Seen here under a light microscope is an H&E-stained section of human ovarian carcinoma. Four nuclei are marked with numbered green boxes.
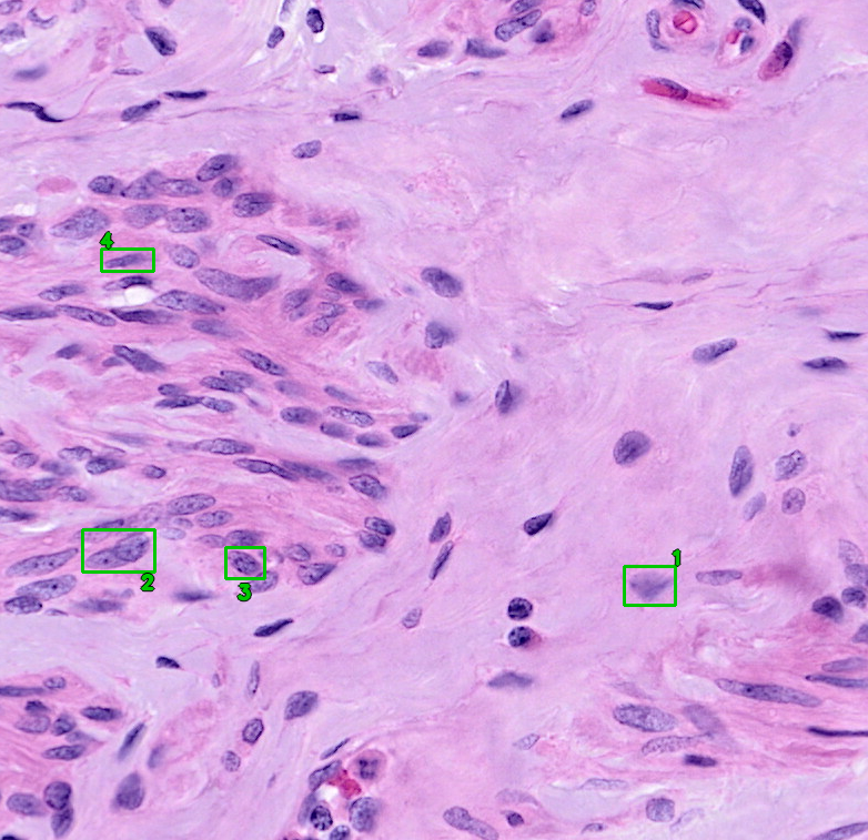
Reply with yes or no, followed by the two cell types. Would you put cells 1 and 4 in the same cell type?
No, sorry to say, cell 1 is a fibroblast and cell 4 is a smooth muscle cell.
